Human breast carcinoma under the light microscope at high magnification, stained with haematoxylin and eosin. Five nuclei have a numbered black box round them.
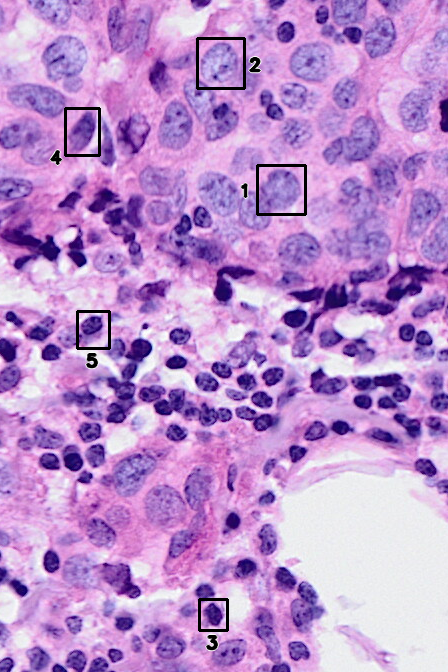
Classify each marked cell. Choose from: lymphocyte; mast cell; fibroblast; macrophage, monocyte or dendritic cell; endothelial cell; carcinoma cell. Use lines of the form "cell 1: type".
cell 1: carcinoma cell
cell 2: carcinoma cell
cell 3: lymphocyte
cell 4: carcinoma cell
cell 5: lymphocyte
